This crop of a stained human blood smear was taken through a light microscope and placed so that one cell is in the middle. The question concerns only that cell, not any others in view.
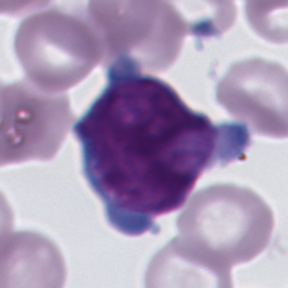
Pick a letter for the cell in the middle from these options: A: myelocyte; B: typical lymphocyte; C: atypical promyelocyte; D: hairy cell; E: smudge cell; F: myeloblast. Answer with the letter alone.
F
